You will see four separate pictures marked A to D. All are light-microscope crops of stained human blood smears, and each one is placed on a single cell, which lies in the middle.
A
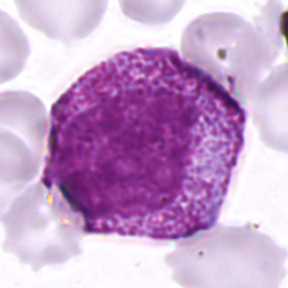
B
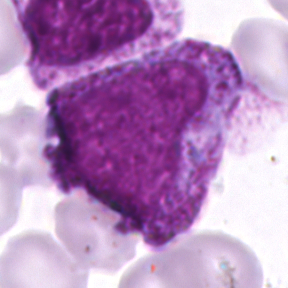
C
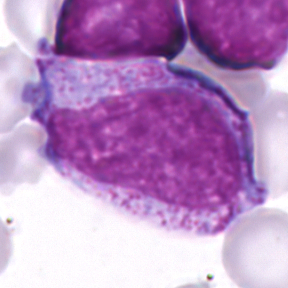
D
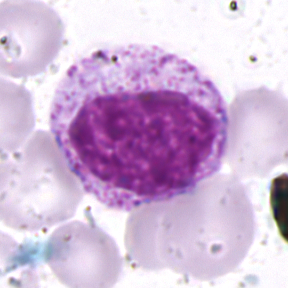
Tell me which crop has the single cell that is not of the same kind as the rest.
D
